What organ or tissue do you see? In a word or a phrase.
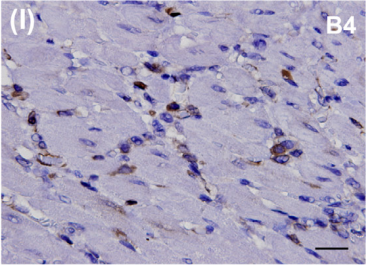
Heart.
